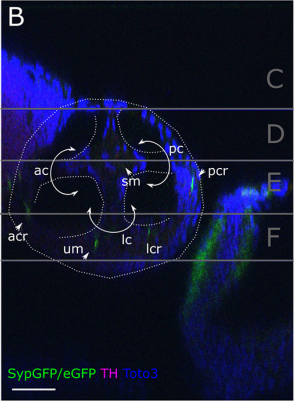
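A sagittal optical section through the side of the larval head shows the developing inner ear as a rounded structure outlined by a white dotted line. Inside it, dark fluid-filled chambers of the forming canals are separated by blue-stained tissue, and sparse green fibres lie near the sensory patches along its wall. A bright green band of nerve fibres runs obliquely below and behind the ear.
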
